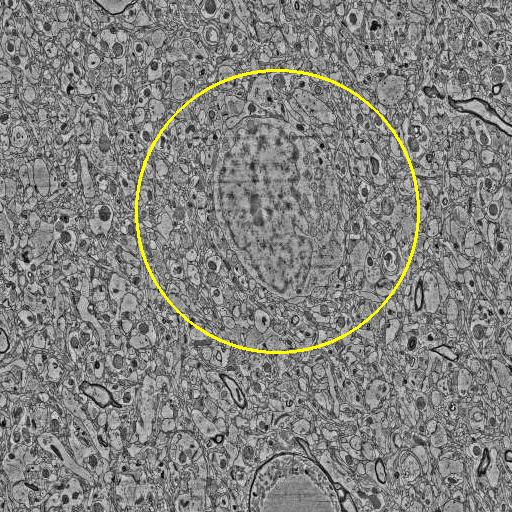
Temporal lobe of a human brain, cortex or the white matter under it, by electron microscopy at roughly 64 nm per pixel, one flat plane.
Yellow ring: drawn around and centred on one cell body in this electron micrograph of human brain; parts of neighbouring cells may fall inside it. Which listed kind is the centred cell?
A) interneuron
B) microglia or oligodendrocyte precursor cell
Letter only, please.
A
